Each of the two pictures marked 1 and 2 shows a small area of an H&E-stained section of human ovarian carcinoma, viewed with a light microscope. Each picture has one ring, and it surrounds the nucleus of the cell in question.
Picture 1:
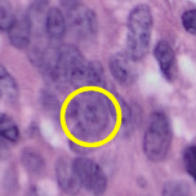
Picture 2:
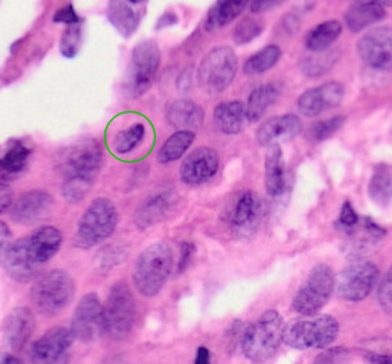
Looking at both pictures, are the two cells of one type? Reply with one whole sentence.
No, picture 1 shows a carcinoma cell and picture 2 shows a “macrophage or monocyte”.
